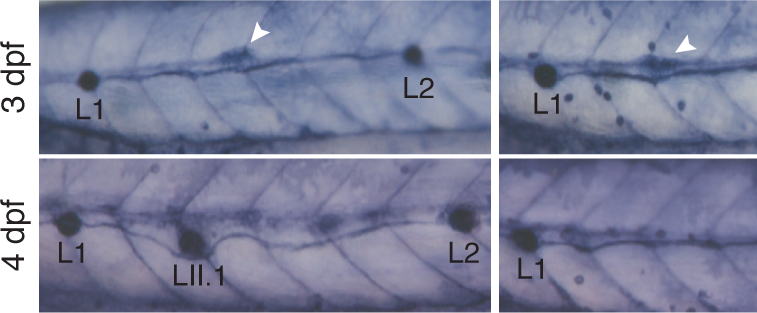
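These are side views of an embryonic trunk, in which the stain picks out lateral line neuromasts as compact, round, dark blue-purple clusters. The clusters sit at intervals along a thin dark line that runs horizontally through the trunk. Behind them the faint V-shaped boundaries of the trunk segments and fine branching lines show through.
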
